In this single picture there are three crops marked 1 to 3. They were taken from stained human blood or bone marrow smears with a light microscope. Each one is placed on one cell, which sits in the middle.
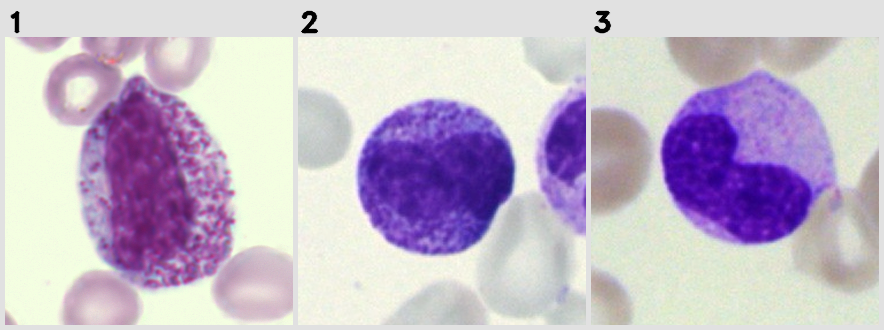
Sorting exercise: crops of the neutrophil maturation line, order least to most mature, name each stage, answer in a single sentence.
Maturity rises in the sequence crop 1 (a myelocyte), crop 2 (a metamyelocyte) and crop 3 (a band neutrophil).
